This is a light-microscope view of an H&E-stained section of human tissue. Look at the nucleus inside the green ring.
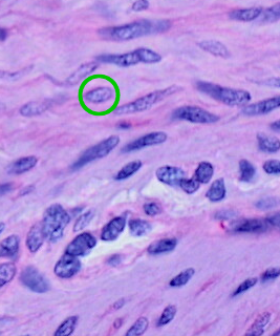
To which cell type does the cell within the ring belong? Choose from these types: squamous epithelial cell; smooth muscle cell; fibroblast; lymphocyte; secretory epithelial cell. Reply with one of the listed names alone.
smooth muscle cell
